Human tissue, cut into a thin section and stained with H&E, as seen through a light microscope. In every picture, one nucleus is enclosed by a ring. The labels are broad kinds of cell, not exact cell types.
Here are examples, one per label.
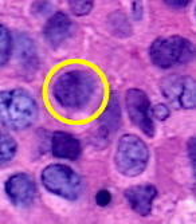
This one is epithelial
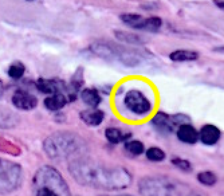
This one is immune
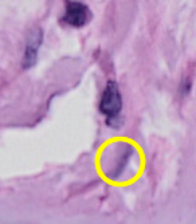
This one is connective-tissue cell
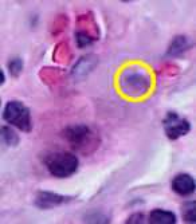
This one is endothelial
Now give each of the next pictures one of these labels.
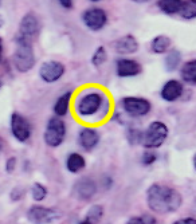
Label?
immune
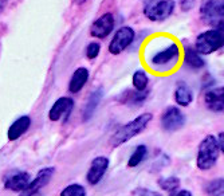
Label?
immune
